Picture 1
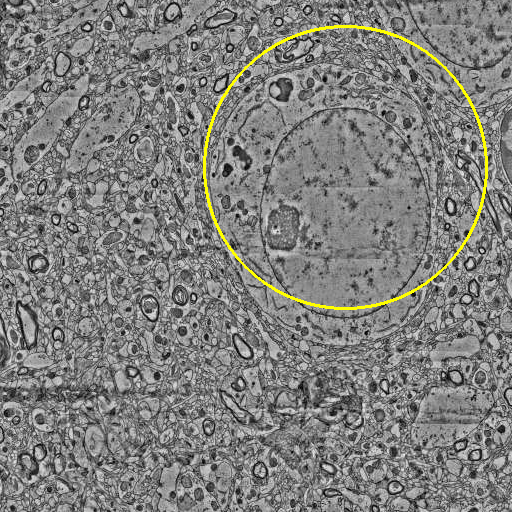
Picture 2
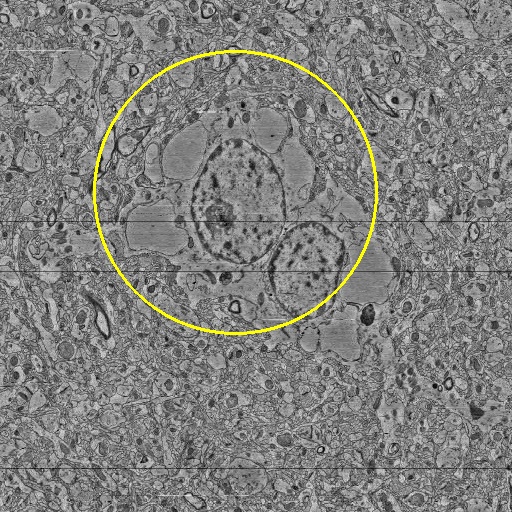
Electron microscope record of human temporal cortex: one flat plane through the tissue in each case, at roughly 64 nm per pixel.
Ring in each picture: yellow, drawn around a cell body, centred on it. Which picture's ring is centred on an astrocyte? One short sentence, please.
Picture 2 is the one.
